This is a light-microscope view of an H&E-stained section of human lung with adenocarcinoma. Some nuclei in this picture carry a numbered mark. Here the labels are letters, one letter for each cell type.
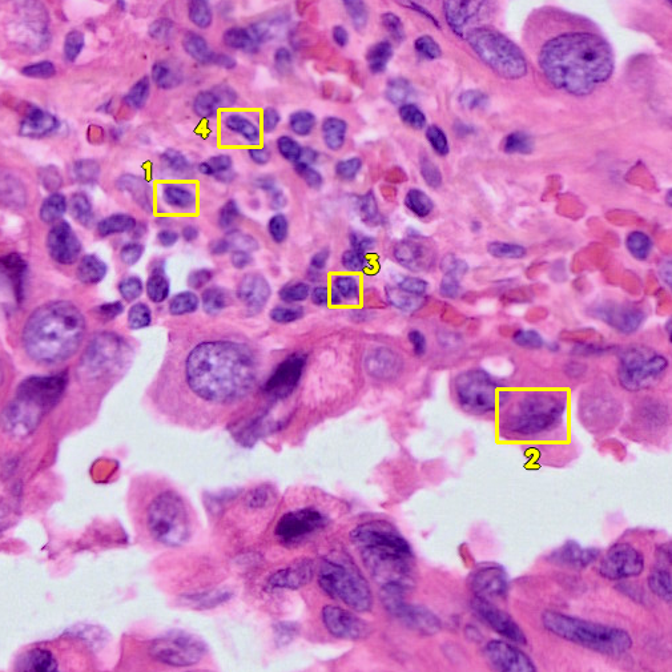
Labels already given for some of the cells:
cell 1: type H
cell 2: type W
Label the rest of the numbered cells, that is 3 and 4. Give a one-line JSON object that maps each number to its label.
{"3": "type H", "4": "type H"}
